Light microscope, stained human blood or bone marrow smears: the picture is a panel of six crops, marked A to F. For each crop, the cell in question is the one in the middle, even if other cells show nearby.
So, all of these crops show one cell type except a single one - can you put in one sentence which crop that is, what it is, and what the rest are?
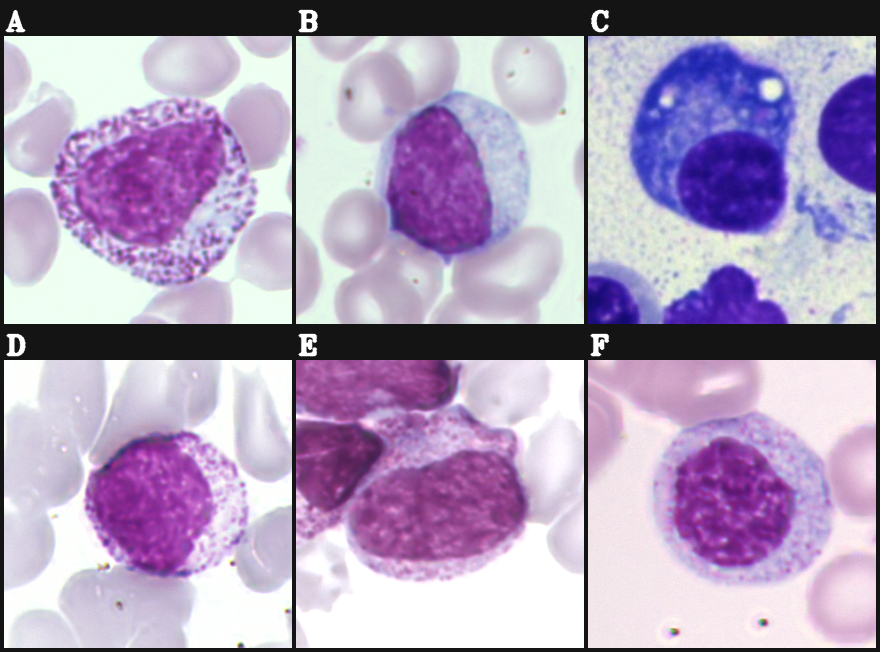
Found in all crops but one are myelocytes; the exception, crop C, contains a plasma cell.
